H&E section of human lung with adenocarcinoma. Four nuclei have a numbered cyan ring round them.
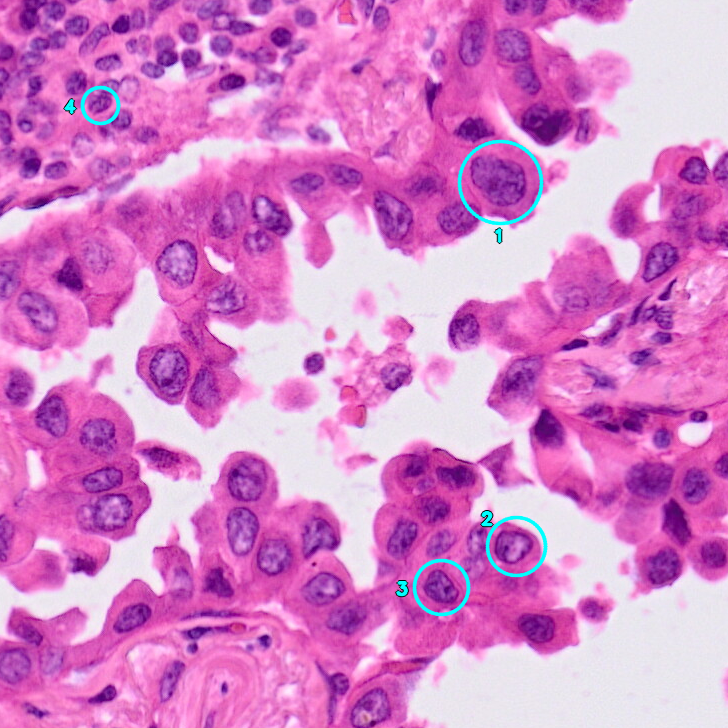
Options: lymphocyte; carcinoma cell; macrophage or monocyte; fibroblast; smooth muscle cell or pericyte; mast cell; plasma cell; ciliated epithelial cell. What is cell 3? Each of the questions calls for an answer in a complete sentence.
The cell numbered 3 represents a carcinoma cell.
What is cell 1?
The cell with the number 1 is a carcinoma cell.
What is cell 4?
Number 4 among the marked cells is a lymphocyte.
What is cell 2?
The numbered cell 2 is identified here as a carcinoma cell.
